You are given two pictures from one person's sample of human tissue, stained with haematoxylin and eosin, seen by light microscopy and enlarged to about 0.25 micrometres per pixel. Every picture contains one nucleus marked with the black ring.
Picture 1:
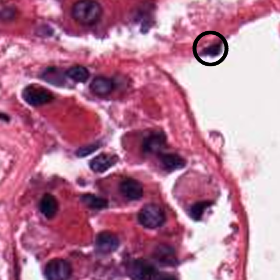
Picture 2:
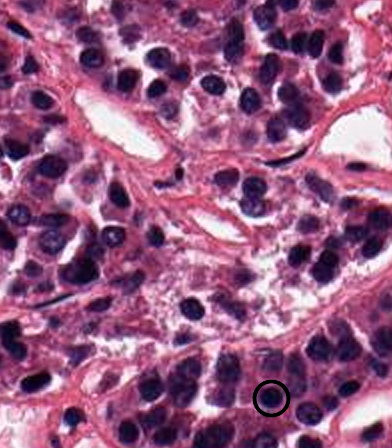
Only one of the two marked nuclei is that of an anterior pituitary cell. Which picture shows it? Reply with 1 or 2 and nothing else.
2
